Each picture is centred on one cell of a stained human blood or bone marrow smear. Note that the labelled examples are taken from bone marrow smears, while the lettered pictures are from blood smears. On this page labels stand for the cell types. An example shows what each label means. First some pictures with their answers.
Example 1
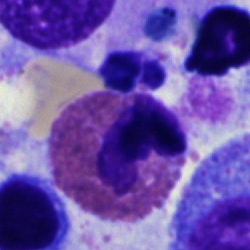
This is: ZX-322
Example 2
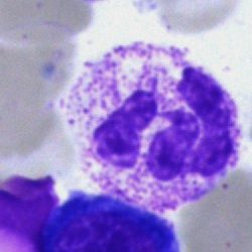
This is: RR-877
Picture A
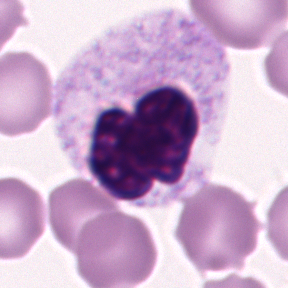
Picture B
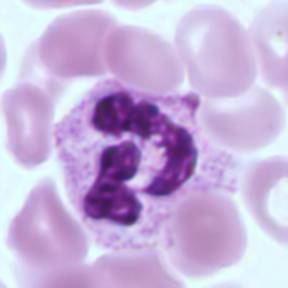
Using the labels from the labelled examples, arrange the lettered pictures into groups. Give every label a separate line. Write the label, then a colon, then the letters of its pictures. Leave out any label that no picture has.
RR-877: A, B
